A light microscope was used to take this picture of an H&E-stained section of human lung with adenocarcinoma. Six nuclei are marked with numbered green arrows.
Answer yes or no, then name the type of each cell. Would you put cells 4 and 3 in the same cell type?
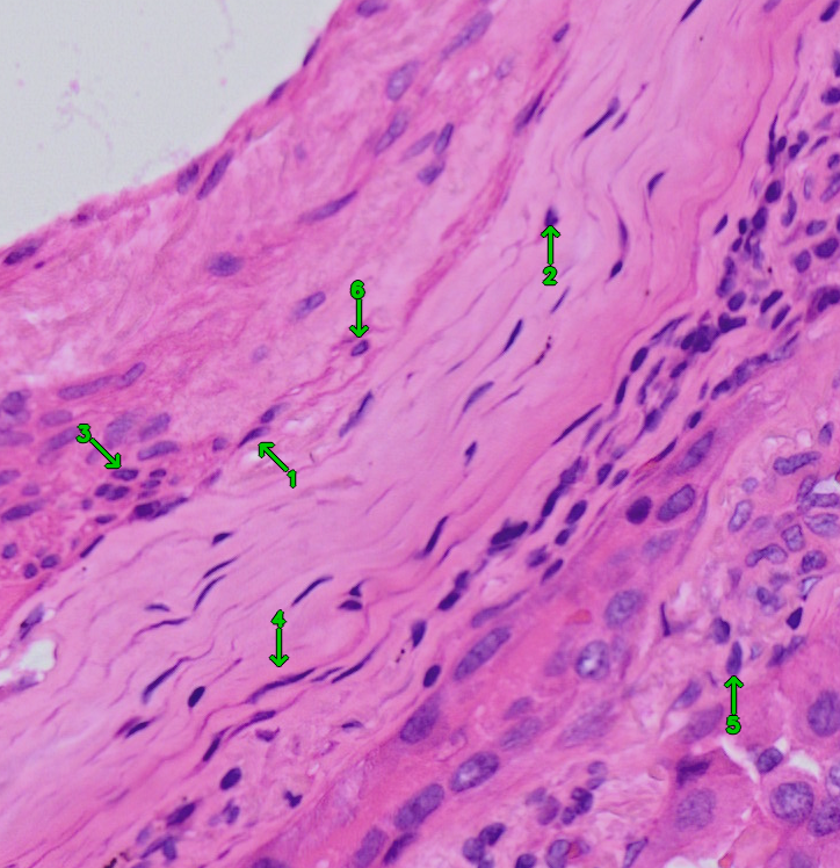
No, cell 4 here is an endothelial cell, and cell 3 here is a smooth muscle cell or pericyte.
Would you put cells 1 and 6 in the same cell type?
Yes, with respect to identity, cells 1 and 6 are both smooth muscle cells or pericytes.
